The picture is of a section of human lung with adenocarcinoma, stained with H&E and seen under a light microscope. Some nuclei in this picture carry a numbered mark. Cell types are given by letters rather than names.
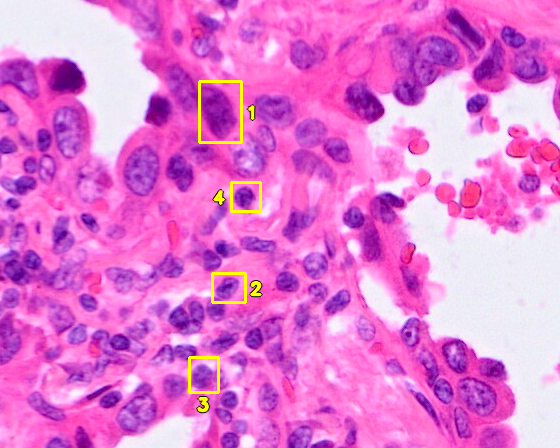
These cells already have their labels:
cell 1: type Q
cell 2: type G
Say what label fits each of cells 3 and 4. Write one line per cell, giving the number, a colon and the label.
3: type G
4: type G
